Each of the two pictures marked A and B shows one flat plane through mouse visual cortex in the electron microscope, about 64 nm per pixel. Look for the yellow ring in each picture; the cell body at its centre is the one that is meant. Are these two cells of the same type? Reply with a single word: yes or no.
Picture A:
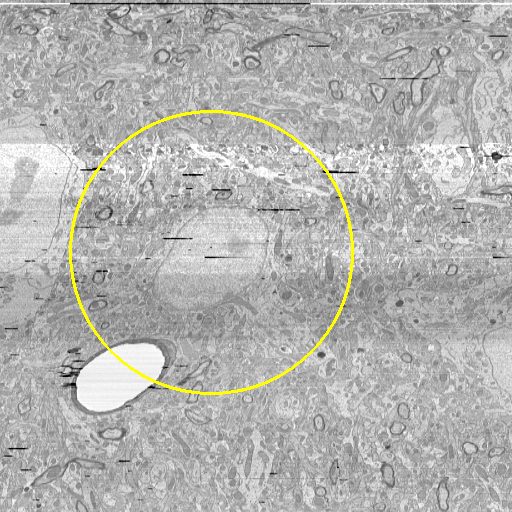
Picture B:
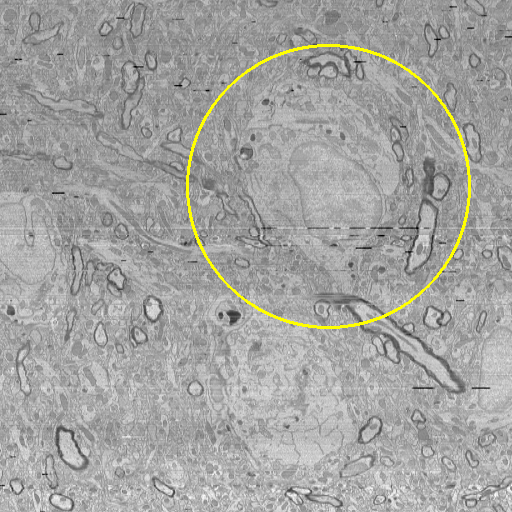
no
